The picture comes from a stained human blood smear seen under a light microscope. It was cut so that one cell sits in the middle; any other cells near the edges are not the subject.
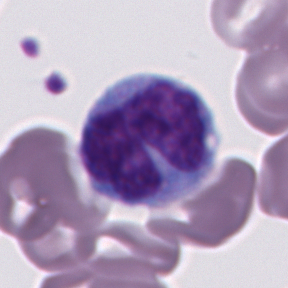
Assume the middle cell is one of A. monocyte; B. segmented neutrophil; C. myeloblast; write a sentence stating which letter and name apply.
Option A is correct in that the central cell is a monocyte.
